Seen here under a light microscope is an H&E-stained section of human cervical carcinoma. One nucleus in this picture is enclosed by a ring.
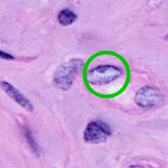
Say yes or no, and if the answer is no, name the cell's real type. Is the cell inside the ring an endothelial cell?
Yes.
